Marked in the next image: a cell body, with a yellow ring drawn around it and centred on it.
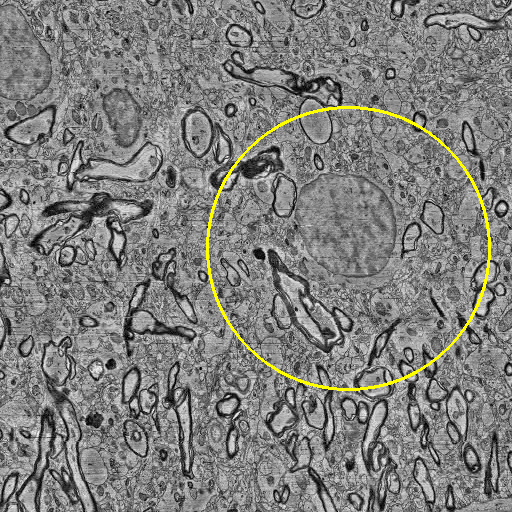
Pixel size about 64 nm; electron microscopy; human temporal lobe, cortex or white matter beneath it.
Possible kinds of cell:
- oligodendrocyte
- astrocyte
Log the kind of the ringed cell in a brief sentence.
The ringed cell body is that of an oligodendrocyte.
